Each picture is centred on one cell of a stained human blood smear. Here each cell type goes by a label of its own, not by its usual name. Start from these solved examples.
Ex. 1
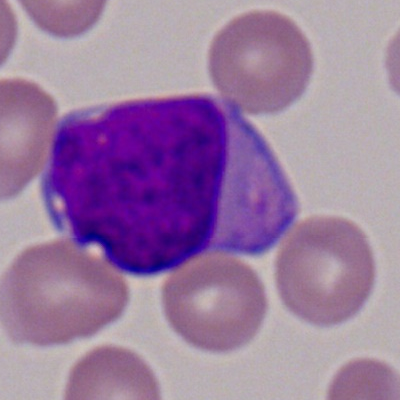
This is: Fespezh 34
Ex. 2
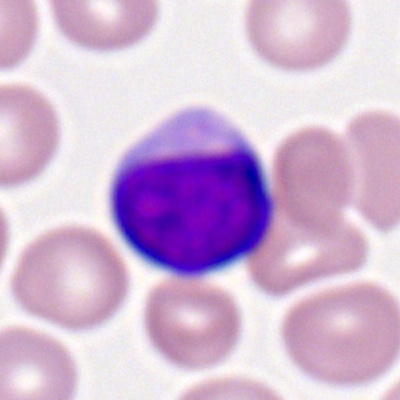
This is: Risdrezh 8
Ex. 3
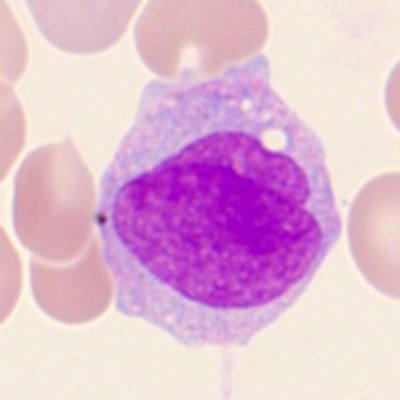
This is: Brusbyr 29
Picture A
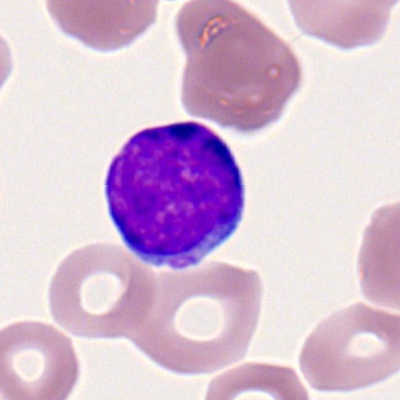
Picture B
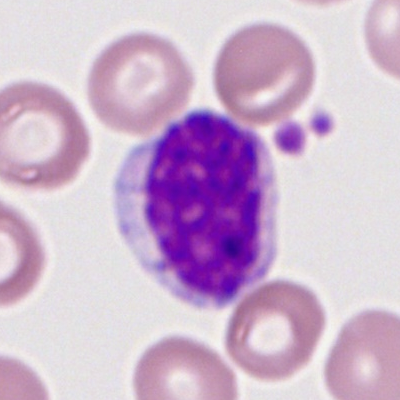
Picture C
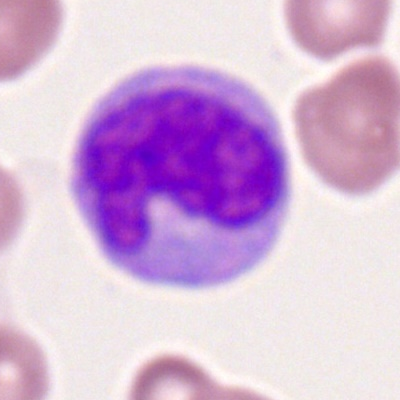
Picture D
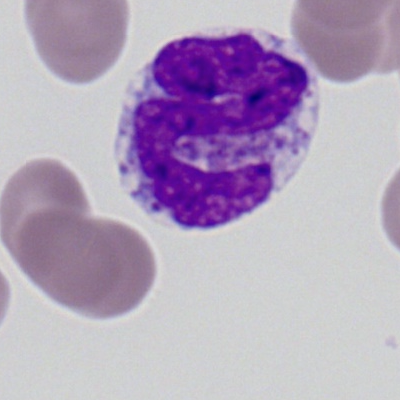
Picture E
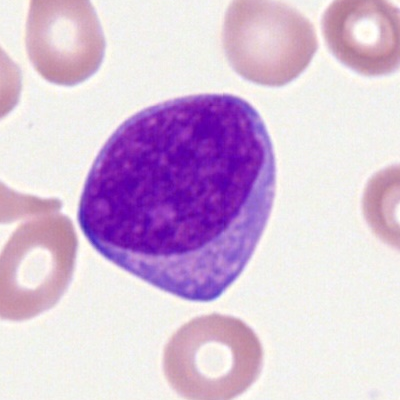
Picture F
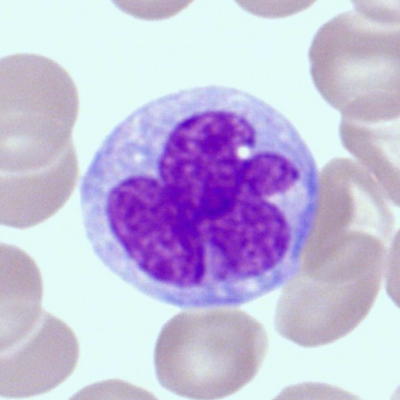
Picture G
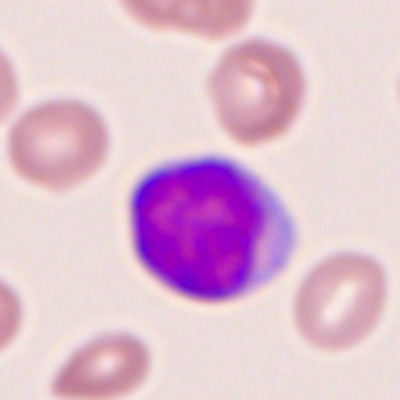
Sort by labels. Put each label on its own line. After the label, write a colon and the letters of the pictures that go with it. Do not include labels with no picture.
Fespezh 34: E
Risdrezh 8: A, B, G
Brusbyr 29: C, D, F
